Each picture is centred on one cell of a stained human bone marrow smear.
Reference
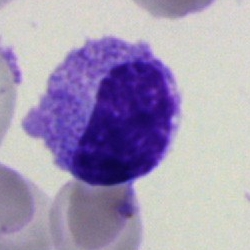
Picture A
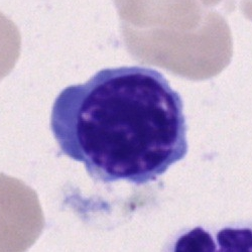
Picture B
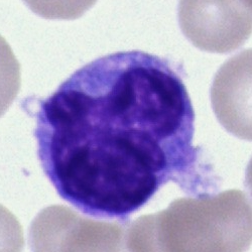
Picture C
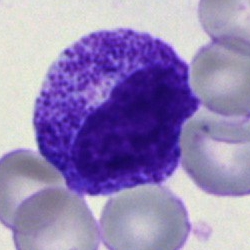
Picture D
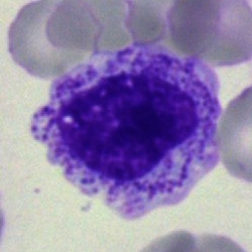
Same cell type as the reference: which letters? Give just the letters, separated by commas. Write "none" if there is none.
C, D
